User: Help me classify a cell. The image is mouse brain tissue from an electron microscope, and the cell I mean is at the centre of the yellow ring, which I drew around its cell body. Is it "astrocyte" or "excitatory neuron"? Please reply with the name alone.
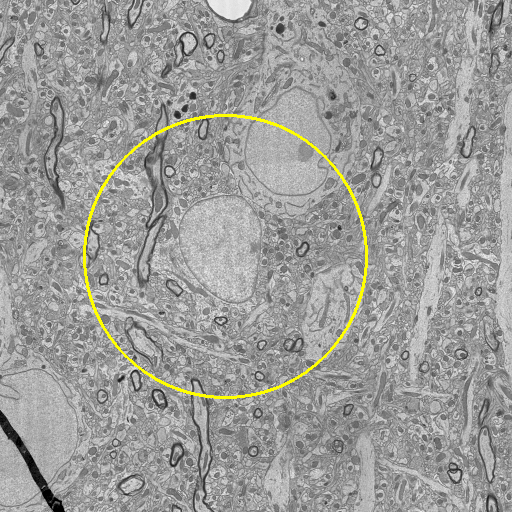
astrocyte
